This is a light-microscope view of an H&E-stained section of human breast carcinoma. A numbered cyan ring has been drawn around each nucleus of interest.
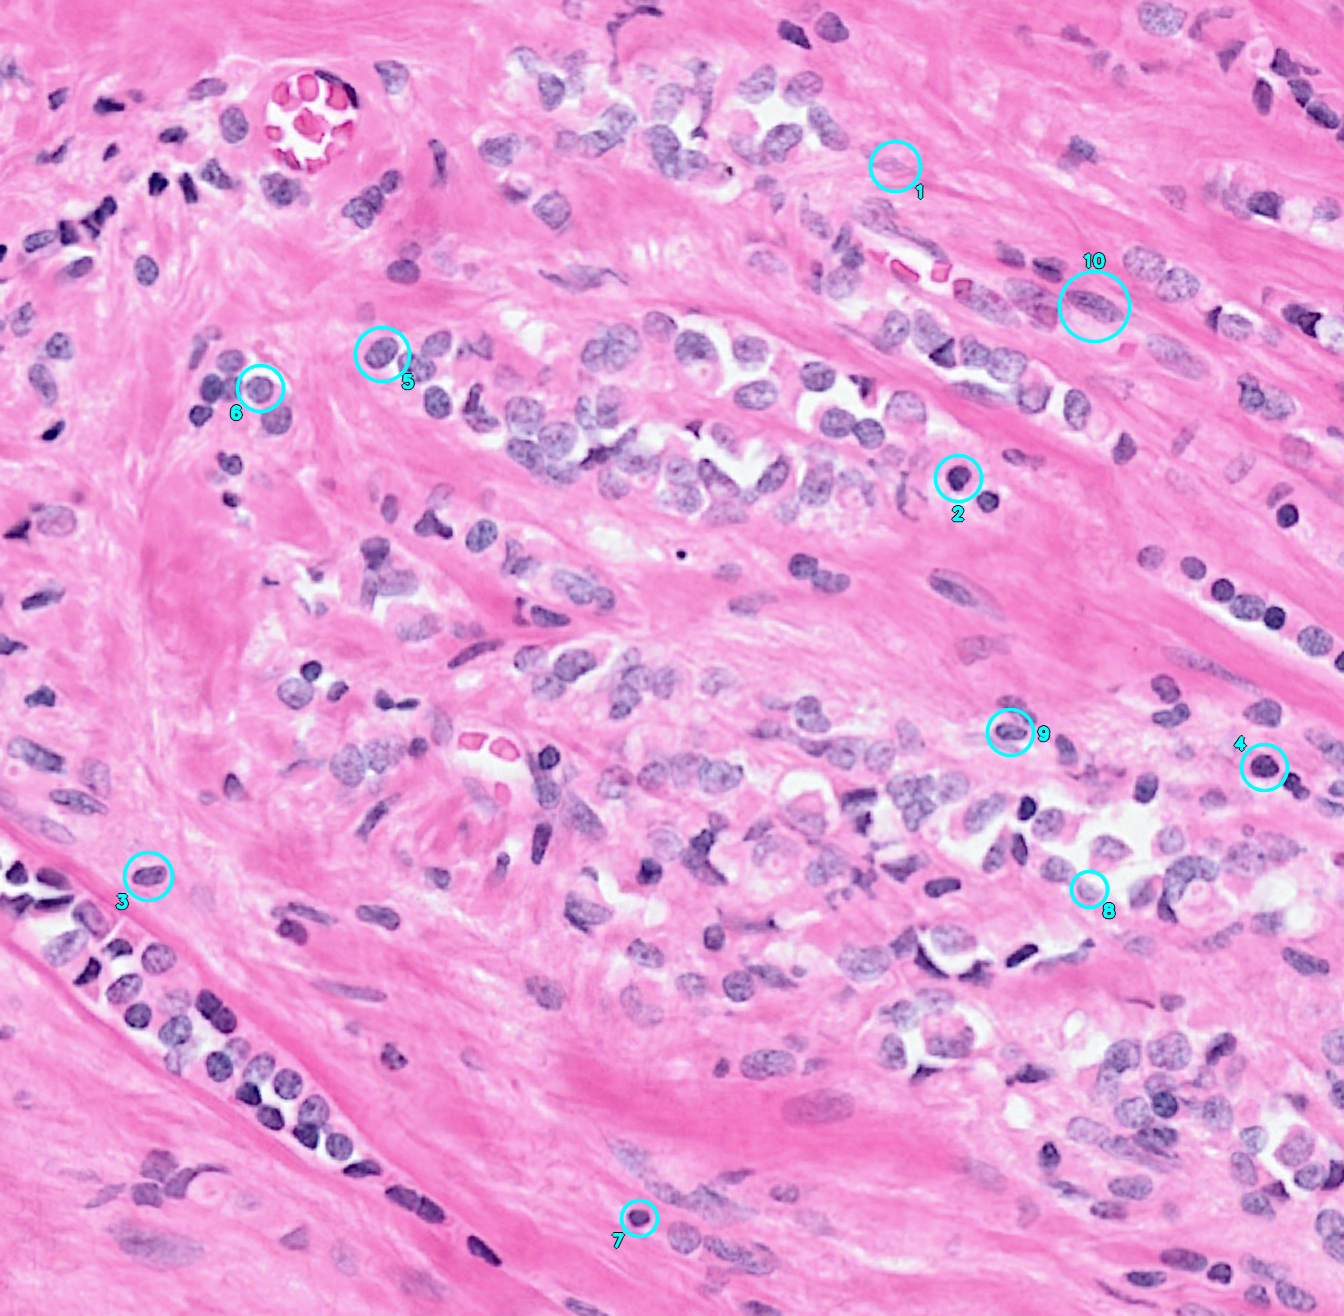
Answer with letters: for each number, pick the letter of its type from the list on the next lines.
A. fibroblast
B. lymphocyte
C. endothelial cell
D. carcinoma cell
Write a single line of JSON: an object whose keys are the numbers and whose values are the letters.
{"1": "A", "2": "B", "3": "B", "4": "B", "5": "D", "6": "D", "7": "B", "8": "D", "9": "B", "10": "C"}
